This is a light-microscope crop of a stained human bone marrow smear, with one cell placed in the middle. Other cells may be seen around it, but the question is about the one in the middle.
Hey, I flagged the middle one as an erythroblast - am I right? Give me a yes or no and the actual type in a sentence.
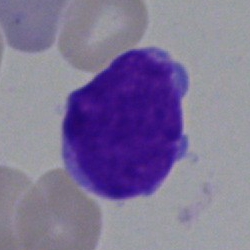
No, the cell at the centre is categorised not as an erythroblast but as a blast.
